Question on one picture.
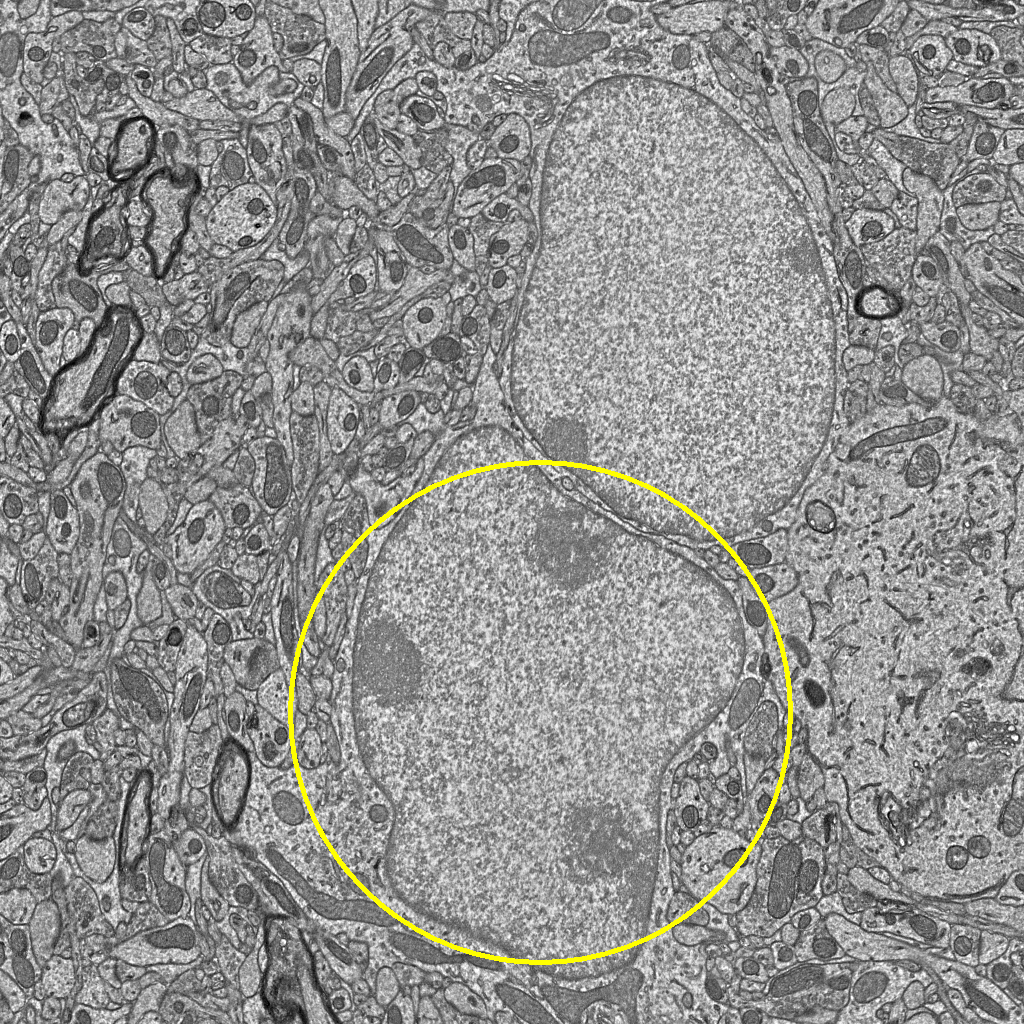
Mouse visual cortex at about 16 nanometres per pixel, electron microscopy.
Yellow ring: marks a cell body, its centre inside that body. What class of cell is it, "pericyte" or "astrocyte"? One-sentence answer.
This is an astrocyte, the cell at the ring's centre.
